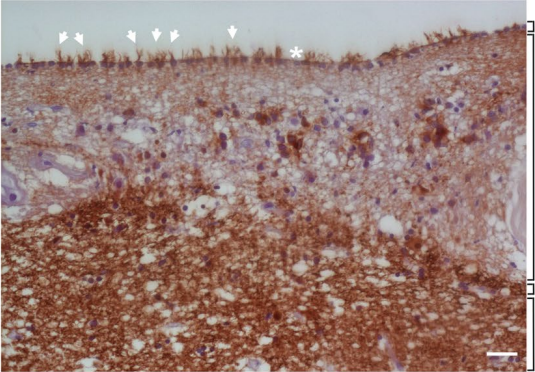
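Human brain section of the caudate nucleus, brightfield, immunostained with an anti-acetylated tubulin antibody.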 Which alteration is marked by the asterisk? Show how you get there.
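Broken or absent cilia. At the asterisk the surface lacks the brown hair-like tufts seen elsewhere along the edge.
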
